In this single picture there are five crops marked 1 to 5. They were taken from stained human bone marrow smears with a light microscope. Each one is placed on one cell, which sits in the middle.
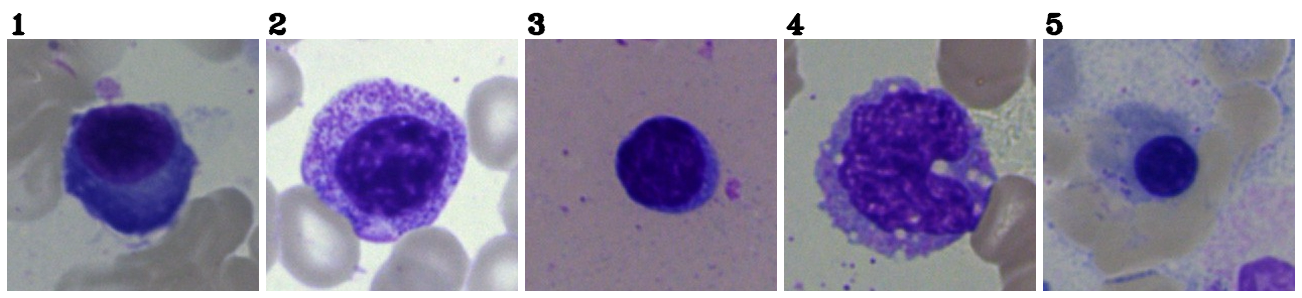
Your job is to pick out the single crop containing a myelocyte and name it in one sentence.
Crop 2 is identified as the crop showing a myelocyte.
